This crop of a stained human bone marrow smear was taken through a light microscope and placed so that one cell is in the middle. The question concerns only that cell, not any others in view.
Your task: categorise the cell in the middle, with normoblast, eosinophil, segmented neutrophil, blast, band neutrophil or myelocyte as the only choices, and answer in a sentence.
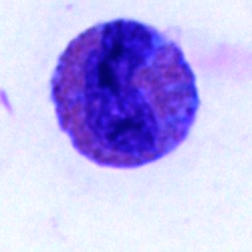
The cell found in the middle of this crop is an eosinophil.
